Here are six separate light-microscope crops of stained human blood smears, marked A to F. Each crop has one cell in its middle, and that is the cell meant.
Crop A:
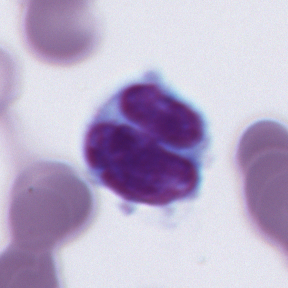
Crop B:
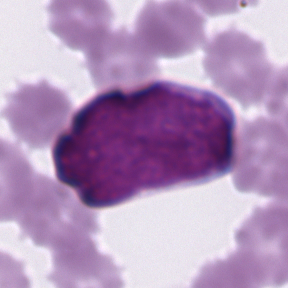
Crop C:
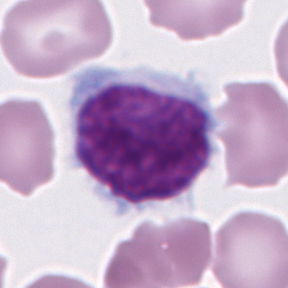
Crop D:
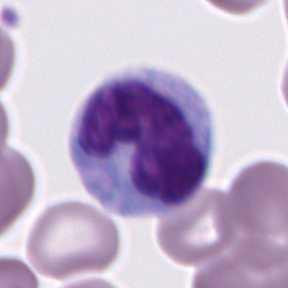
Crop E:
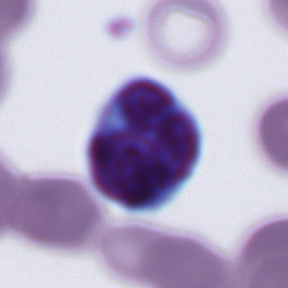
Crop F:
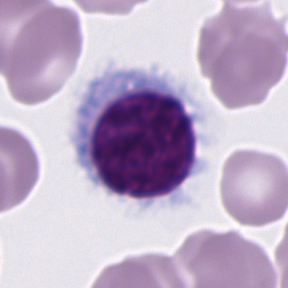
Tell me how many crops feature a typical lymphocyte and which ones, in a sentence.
Those showing typical lymphocytes are crops A and E, so two crops in all.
